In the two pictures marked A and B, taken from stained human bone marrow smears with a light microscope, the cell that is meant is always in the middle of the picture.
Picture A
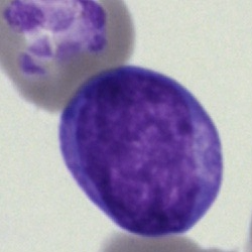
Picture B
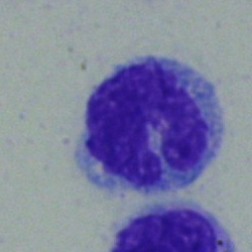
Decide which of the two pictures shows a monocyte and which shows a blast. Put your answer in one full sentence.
Picture B shows a monocyte, while picture A shows a blast.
